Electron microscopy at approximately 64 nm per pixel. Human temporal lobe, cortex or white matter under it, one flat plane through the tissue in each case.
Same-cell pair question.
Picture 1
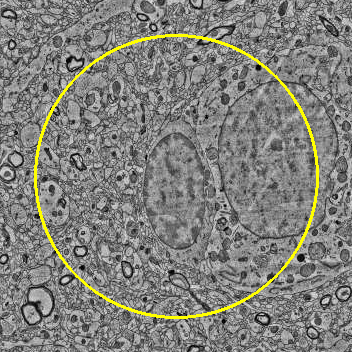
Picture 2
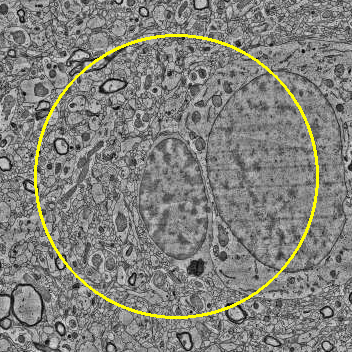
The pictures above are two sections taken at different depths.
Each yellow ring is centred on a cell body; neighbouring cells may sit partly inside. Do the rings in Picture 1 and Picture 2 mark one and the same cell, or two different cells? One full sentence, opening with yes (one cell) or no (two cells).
Yes, one single cell is under each of the two rings.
